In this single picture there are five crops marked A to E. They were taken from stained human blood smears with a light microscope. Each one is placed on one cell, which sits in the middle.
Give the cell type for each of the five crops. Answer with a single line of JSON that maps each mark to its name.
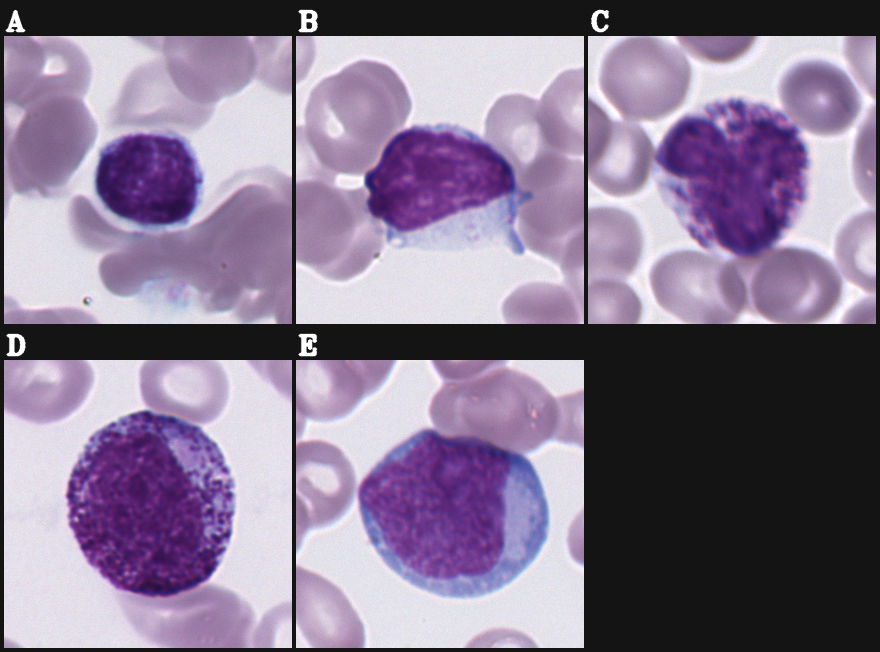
{"A": "typical lymphocyte", "B": "typical lymphocyte", "C": "basophil", "D": "promyelocyte", "E": "myeloblast"}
